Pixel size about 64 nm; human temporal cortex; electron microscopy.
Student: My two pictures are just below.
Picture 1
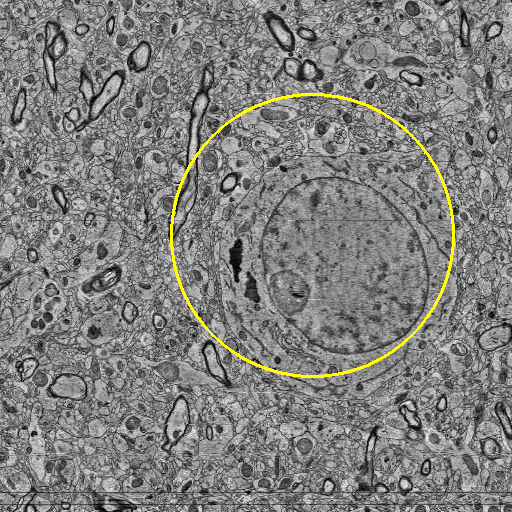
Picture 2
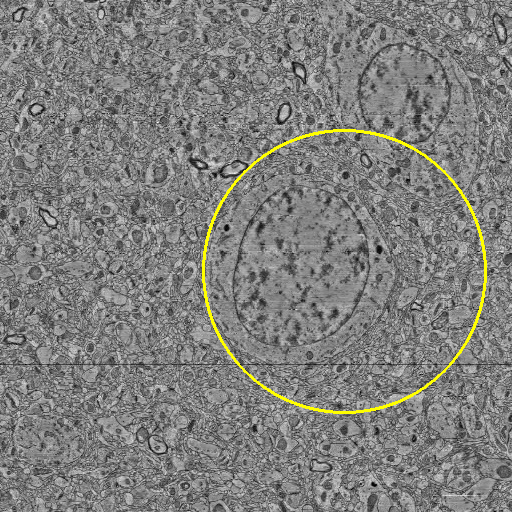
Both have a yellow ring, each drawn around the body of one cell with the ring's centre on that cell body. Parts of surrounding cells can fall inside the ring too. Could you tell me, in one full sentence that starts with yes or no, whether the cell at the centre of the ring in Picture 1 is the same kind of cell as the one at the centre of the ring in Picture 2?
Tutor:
Yes, the two cells are of the same kind.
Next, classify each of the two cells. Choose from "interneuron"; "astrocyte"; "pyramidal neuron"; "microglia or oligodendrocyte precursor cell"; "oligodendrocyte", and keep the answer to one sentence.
In each of the two pictures, the ringed cell is a pyramidal neuron.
